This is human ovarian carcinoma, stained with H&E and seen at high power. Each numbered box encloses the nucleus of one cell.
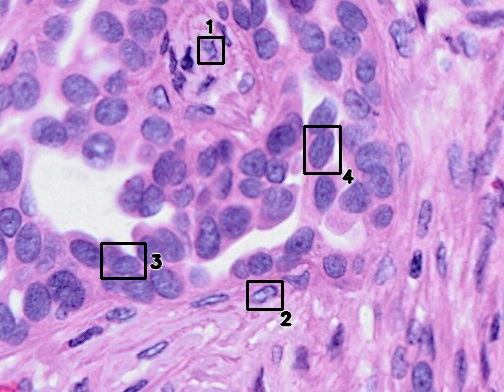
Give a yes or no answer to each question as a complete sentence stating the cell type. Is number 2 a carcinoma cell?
No, a fibroblast, not a carcinoma cell, is the cell with number 2.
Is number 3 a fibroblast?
No, the right label for cell 3 is a carcinoma cell rather than a fibroblast.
